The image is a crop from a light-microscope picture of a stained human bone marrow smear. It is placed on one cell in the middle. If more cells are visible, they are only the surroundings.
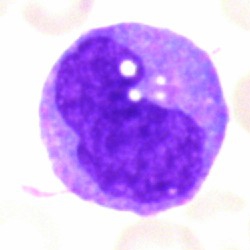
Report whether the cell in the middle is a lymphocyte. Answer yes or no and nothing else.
no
